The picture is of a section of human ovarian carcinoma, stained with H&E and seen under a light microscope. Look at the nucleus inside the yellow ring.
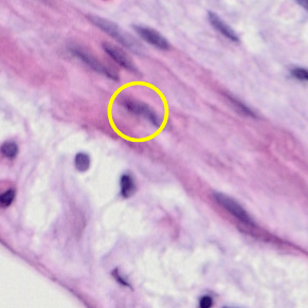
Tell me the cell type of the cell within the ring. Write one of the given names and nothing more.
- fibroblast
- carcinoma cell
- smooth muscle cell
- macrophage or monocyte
smooth muscle cell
